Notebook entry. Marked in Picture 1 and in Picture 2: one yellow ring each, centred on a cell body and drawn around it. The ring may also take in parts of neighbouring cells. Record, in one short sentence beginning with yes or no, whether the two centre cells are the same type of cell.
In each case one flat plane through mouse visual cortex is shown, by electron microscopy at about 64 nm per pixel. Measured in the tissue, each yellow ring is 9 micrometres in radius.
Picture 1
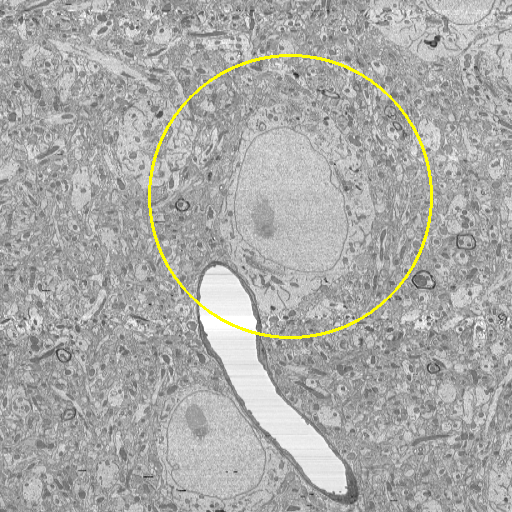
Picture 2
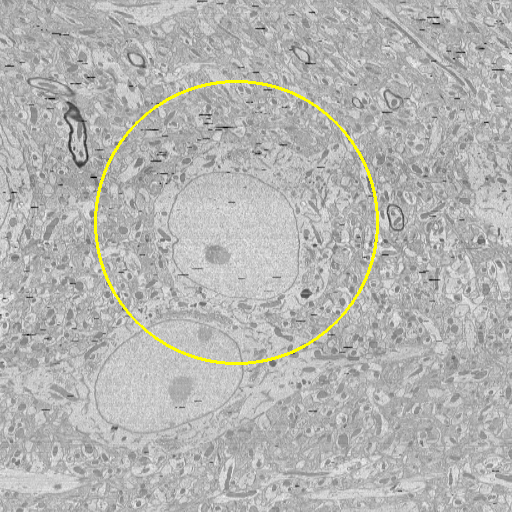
Yes, both are the same type of cell.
